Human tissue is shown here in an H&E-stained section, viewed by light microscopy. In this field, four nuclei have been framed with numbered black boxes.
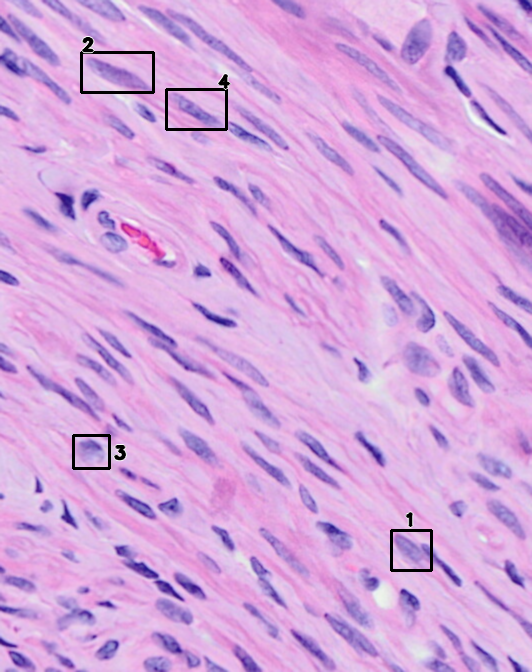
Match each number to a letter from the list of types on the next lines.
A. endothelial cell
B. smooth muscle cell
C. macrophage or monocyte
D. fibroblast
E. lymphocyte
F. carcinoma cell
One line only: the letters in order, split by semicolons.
B; B; D; B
